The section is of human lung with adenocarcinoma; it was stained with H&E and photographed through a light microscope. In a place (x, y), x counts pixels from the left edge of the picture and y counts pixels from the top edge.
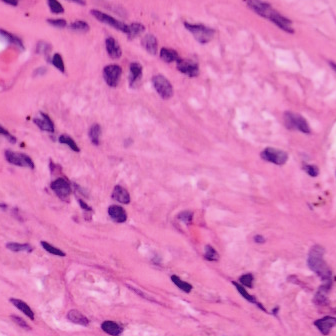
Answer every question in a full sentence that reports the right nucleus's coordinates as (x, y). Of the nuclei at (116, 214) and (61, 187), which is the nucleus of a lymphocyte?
The nucleus positioned at (116, 214) is the one that belongs to a lymphocyte.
